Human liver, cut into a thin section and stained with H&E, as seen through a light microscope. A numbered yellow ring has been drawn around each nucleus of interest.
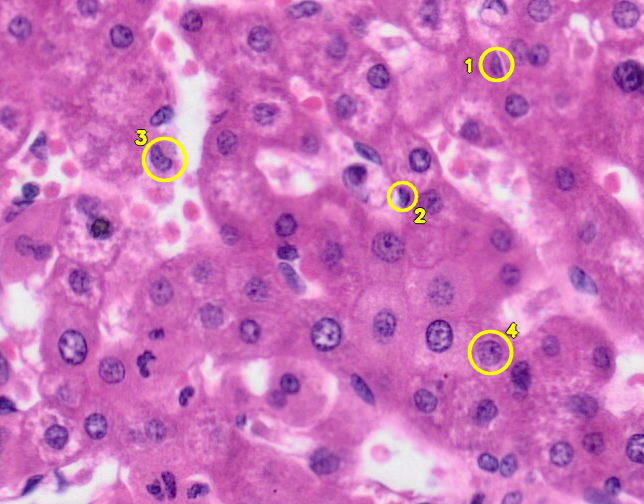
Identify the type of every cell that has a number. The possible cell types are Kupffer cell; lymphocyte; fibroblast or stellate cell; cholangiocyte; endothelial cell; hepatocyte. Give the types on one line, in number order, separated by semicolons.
fibroblast or stellate cell; fibroblast or stellate cell; Kupffer cell; hepatocyte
